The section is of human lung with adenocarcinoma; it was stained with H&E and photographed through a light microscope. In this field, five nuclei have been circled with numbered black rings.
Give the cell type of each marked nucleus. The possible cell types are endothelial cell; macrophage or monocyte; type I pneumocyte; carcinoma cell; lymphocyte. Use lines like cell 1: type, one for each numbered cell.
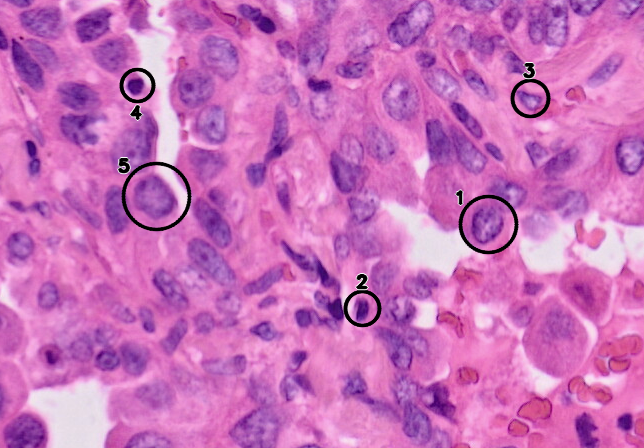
cell 1: carcinoma cell
cell 2: lymphocyte
cell 3: endothelial cell
cell 4: lymphocyte
cell 5: carcinoma cell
